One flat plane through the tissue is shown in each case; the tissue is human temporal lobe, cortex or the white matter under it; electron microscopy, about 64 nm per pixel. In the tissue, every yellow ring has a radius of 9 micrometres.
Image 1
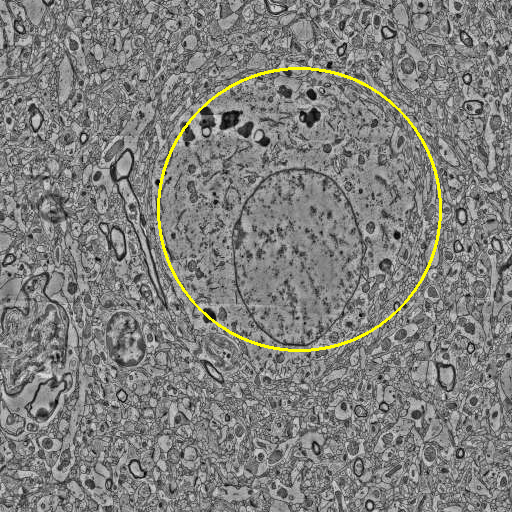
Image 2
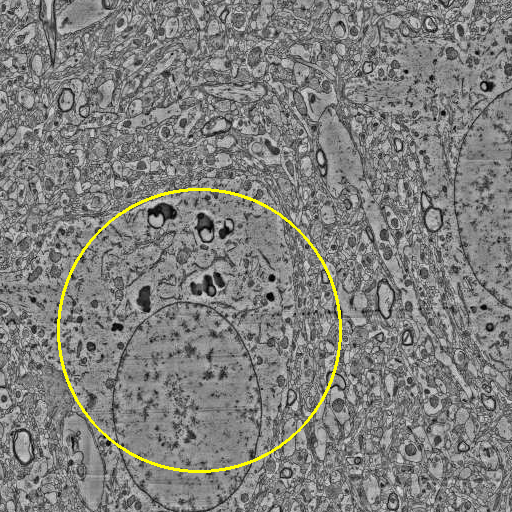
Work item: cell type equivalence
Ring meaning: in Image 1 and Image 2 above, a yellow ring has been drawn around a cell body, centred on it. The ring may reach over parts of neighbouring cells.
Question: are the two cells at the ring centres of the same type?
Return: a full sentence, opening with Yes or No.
Yes, the two centred cells are of the same type.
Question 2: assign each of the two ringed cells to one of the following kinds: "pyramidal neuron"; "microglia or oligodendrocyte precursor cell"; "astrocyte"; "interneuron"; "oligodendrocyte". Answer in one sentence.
Each of the two rings is centred on a pyramidal neuron.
